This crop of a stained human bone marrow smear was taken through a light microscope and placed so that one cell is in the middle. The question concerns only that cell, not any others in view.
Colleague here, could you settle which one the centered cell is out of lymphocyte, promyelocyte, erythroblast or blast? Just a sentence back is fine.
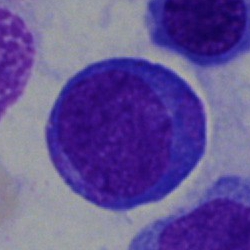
What sits at the centre of this crop is a blast.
